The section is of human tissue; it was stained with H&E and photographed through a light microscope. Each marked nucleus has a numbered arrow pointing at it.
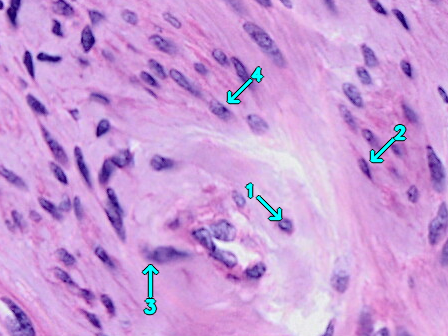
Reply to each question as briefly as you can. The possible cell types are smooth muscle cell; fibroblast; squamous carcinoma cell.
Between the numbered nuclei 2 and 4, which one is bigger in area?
4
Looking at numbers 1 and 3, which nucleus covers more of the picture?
3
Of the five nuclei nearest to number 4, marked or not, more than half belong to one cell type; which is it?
smooth muscle cell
